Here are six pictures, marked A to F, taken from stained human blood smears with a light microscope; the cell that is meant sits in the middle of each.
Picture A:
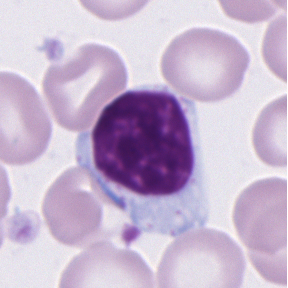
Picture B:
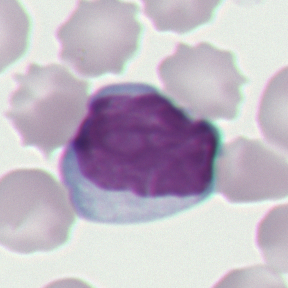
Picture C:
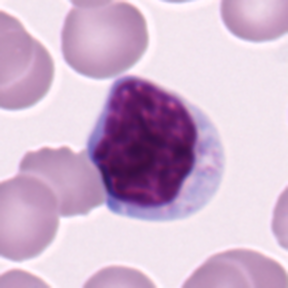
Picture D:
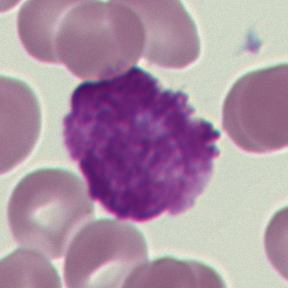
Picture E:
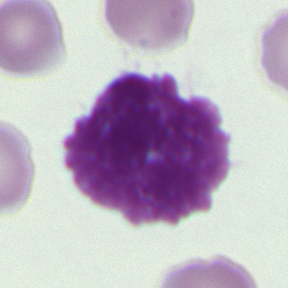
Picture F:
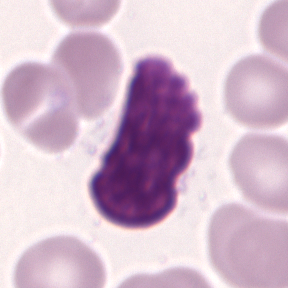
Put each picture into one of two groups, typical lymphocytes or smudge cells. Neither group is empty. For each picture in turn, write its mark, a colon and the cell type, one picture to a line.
A: typical lymphocyte
B: typical lymphocyte
C: typical lymphocyte
D: smudge cell
E: smudge cell
F: smudge cell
